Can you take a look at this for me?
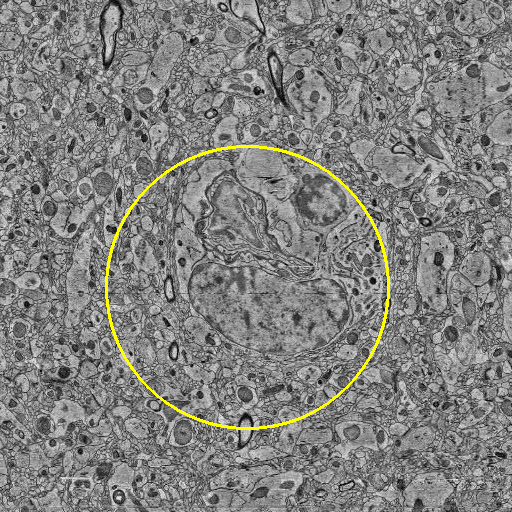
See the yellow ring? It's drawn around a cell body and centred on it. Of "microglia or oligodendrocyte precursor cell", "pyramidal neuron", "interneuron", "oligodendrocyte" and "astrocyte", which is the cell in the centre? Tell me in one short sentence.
The one in the centre is a microglial cell or oligodendrocyte precursor cell.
